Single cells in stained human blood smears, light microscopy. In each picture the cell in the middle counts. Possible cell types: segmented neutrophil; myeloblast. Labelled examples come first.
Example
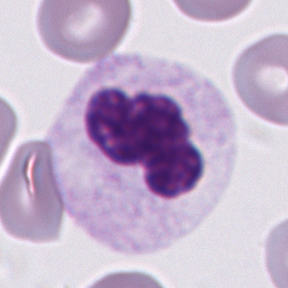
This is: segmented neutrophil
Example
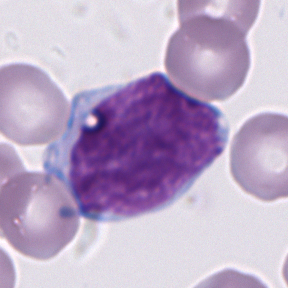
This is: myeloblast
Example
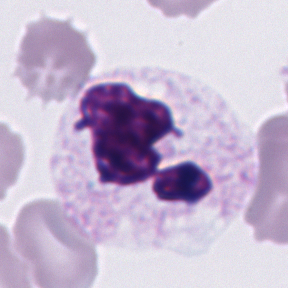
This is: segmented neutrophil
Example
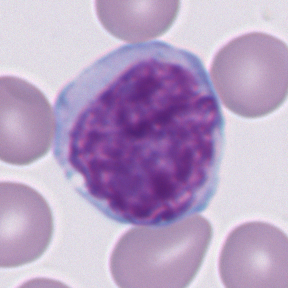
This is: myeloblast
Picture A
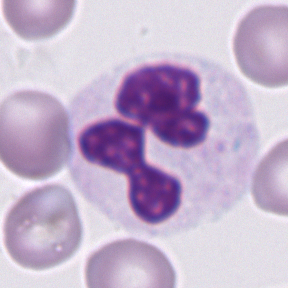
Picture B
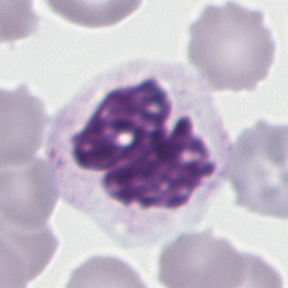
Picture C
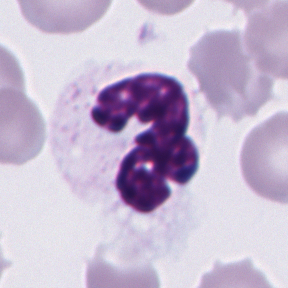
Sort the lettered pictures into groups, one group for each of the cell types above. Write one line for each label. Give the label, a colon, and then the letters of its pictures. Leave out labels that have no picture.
segmented neutrophil: A, B, C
